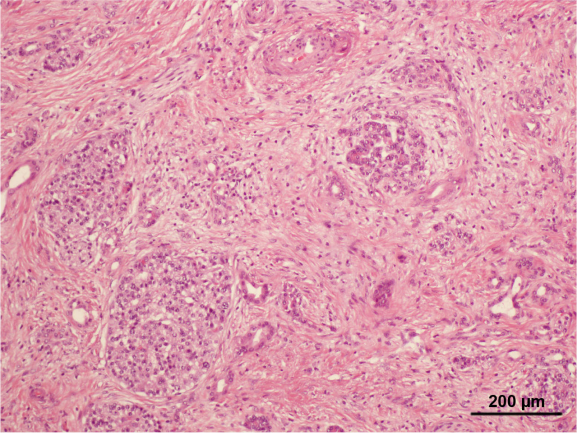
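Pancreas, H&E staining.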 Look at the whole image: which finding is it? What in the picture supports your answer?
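Dense pink fibrous stroma fills much of the field. Cell nests and small ducts are separated by broad bands of fibrous tissue. That points to this answer: fibrosis.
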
